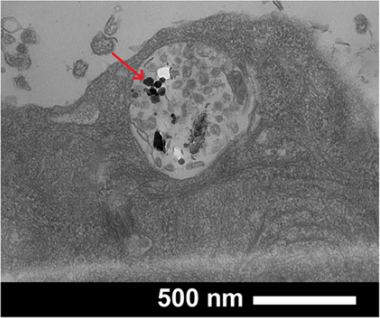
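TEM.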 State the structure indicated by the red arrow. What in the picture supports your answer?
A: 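The arrow points to a cluster of small black dense particles. The cluster lies inside a round membrane-bound vesicle near the cell surface.
Hence: nanoparticles.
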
